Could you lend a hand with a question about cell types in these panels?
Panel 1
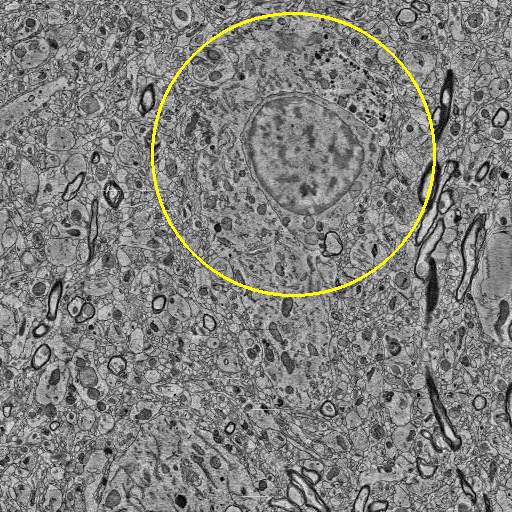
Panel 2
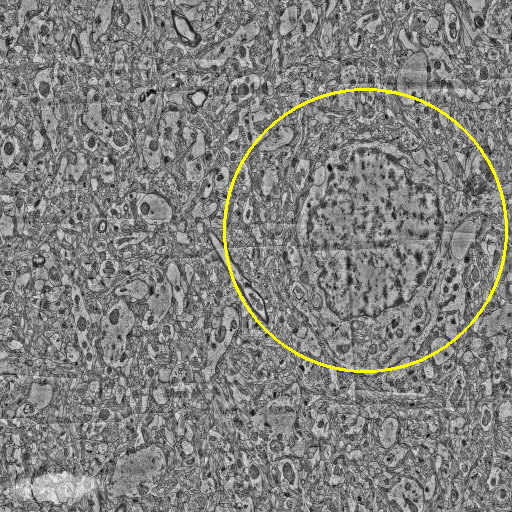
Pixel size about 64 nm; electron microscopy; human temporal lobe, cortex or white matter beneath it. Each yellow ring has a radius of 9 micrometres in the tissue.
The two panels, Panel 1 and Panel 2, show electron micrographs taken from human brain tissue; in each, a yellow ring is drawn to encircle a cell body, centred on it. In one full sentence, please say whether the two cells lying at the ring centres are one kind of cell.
No, the cells at the ring centres in the two panels are two kinds of cell.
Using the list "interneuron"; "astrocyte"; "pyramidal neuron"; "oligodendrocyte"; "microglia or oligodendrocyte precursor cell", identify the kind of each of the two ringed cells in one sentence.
The first is an oligodendrocyte and the second is an interneuron.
